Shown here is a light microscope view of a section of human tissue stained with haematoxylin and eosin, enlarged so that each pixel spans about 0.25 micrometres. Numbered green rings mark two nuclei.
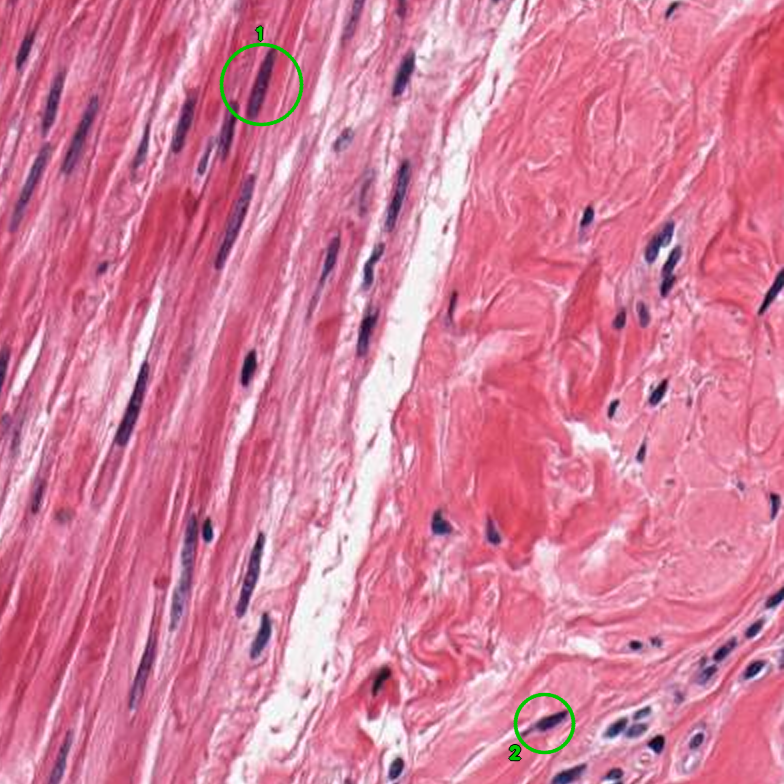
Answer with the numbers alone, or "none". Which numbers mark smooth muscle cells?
1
